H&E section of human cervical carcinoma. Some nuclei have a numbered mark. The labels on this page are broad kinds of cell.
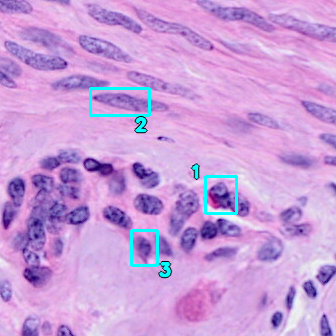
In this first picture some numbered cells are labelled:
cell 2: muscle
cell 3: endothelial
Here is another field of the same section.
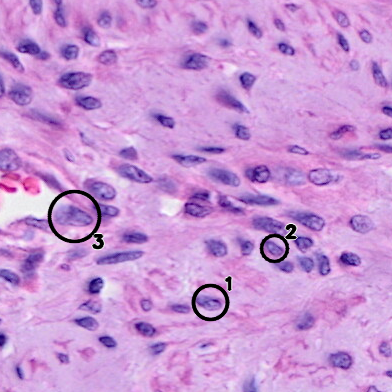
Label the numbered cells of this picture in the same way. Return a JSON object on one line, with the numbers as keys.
{"1": "muscle", "2": "muscle", "3": "endothelial"}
